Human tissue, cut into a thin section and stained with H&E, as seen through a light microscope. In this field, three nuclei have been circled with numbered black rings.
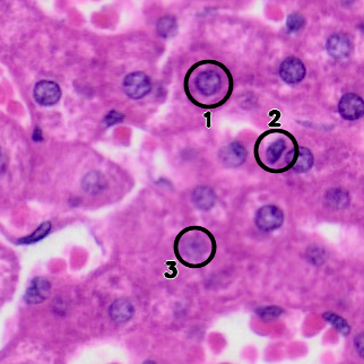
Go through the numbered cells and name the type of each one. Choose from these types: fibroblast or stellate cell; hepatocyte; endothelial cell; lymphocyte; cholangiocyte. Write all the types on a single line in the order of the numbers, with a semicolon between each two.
hepatocyte; fibroblast or stellate cell; hepatocyte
